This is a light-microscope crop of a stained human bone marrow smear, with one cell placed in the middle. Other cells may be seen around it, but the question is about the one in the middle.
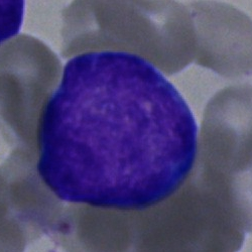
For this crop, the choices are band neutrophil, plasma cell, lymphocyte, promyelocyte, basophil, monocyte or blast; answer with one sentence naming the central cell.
In this crop, the cell at the very middle is a blast.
